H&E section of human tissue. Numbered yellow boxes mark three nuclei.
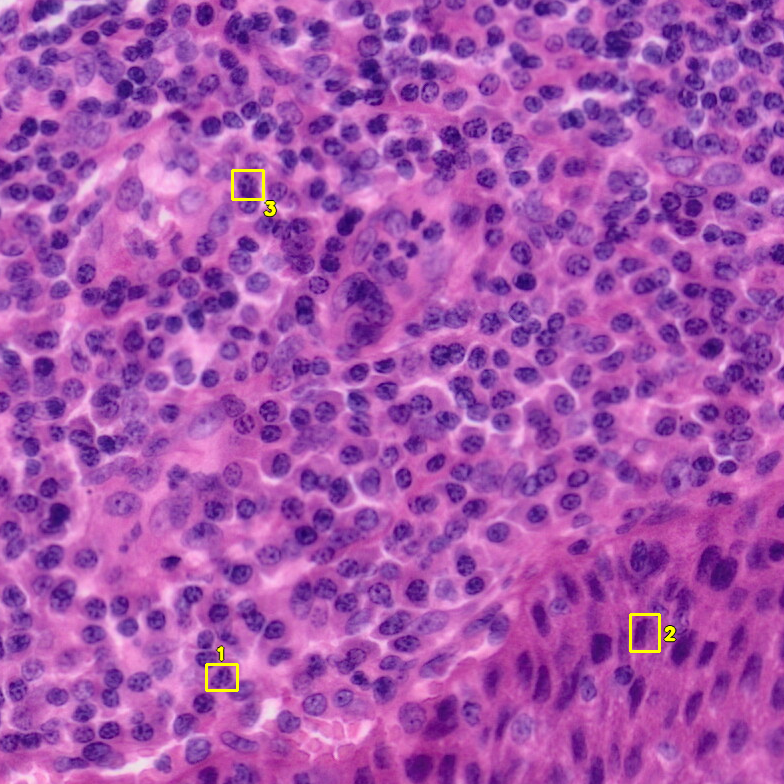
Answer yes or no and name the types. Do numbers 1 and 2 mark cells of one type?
No, cell 1 is a plasma cell and cell 2 is a squamous epithelial cell.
